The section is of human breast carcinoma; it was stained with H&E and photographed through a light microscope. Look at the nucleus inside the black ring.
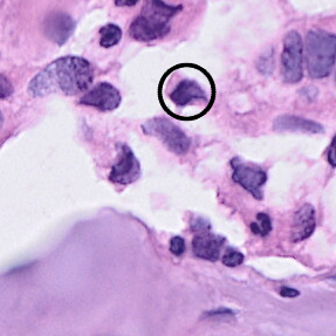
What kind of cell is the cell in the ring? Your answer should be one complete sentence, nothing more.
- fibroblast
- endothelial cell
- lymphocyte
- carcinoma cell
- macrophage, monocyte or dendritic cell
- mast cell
Students should answer that the cell in the ring is a carcinoma cell.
